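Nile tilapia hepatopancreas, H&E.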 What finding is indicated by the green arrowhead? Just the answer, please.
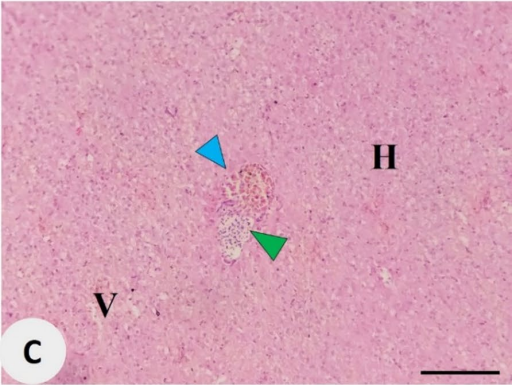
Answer: Immune cell infiltration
